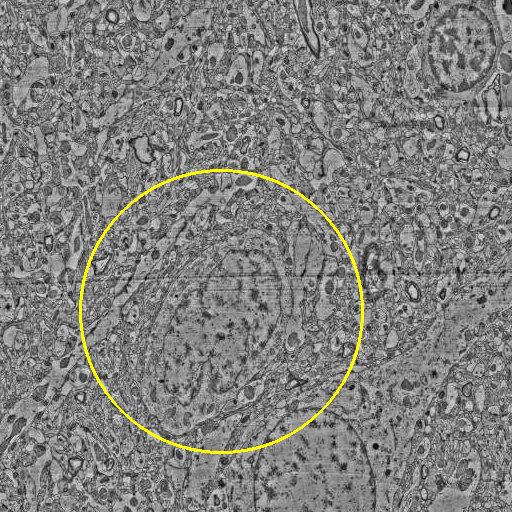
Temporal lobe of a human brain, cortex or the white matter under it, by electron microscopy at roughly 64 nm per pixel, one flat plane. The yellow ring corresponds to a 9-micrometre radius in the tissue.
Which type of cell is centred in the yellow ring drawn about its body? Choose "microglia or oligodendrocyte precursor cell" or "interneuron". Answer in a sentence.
The yellow ring surrounds the cell body of an interneuron.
